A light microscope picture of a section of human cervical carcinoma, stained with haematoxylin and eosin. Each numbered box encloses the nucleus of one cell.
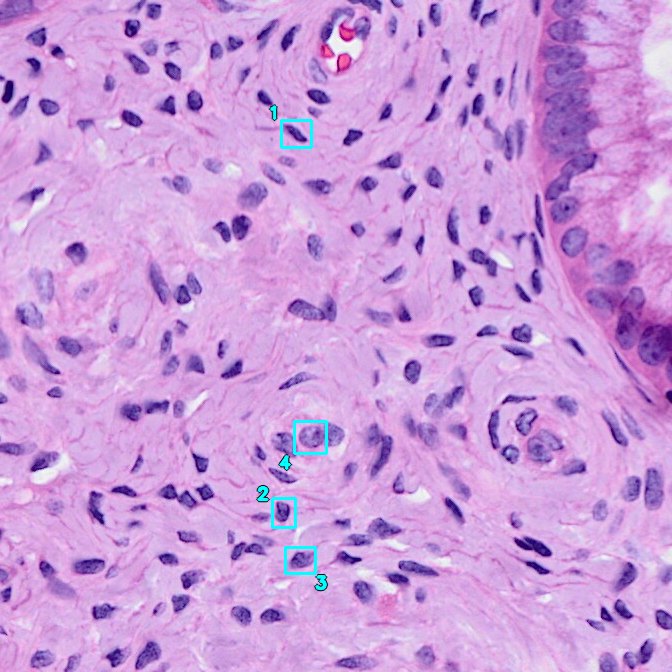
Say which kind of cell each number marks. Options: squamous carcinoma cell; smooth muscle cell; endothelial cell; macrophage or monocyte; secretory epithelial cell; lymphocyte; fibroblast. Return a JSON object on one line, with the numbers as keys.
{"1": "fibroblast", "2": "fibroblast", "3": "fibroblast", "4": "endothelial cell"}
